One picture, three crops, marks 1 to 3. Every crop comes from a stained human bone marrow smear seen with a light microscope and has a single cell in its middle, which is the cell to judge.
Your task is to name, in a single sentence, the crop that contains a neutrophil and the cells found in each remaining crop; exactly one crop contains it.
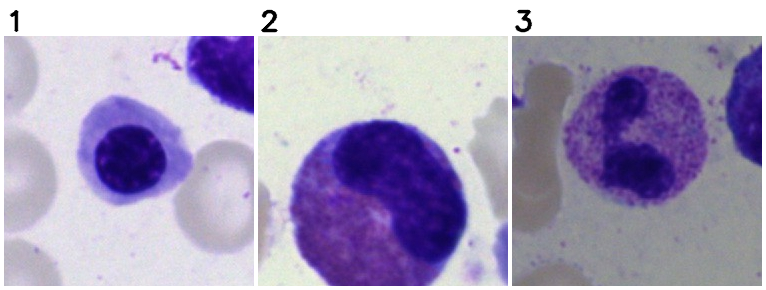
Crop 3 should be logged as a neutrophil, while crop 1 is a normoblast and crop 2 is an eosinophil.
